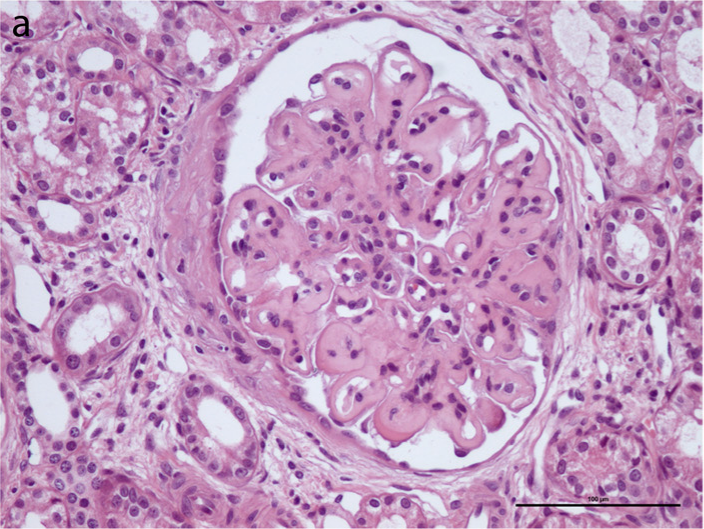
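A glomerulus sits within its capsule, surrounded by cross-sectioned renal tubules with cuboidal epithelium. The lobules of its capillary tuft are swollen by pale pink, largely acellular material that spreads the nuclei apart and thickens the capillary loops, giving the tuft a lobulated, bulky look.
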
